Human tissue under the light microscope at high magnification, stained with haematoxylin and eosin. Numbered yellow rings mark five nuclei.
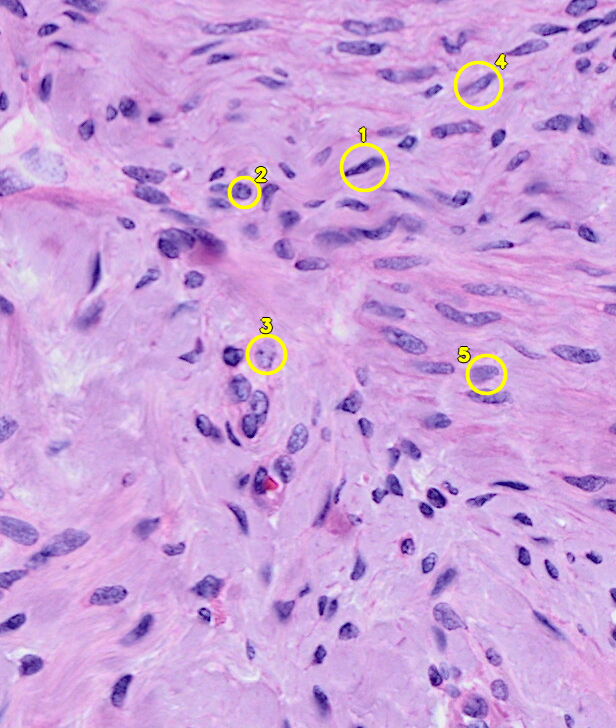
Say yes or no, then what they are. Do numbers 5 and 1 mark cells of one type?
No, as for cell 5, it is a smooth muscle cell, and cell 1 is a fibroblast.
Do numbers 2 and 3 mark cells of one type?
No, cell 2 is a fibroblast, and as for cell 3, it is an endothelial cell.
